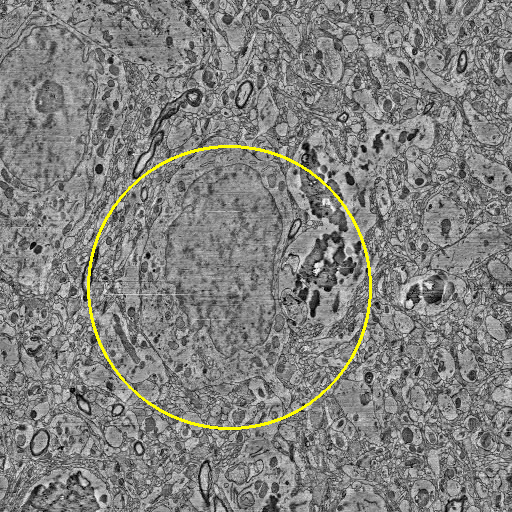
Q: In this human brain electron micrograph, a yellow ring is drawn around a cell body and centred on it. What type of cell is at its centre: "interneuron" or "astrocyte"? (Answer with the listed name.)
interneuron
